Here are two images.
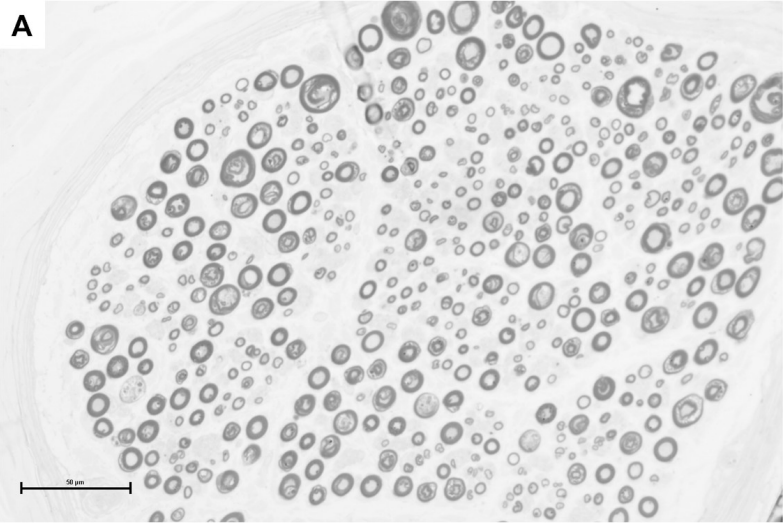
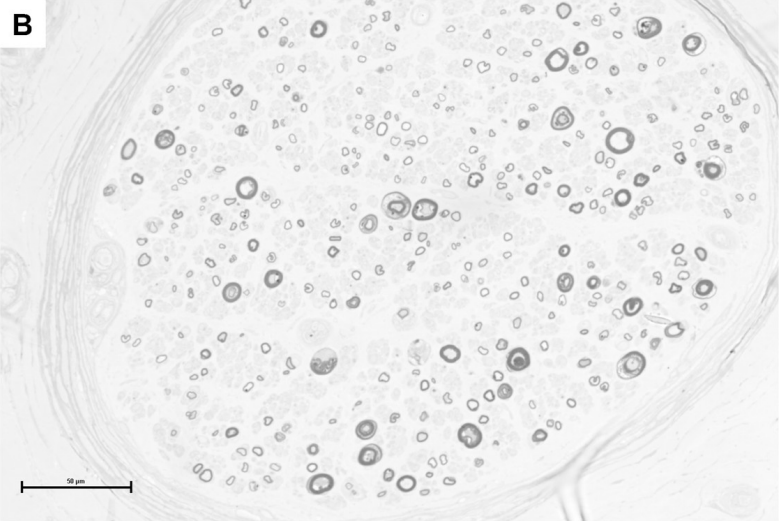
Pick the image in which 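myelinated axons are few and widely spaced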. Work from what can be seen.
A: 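The second image. Second image: dark-rimmed ring profiles are scattered sparsely, with wide pale areas between them. Second image: most remaining rings are small with thin rims.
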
